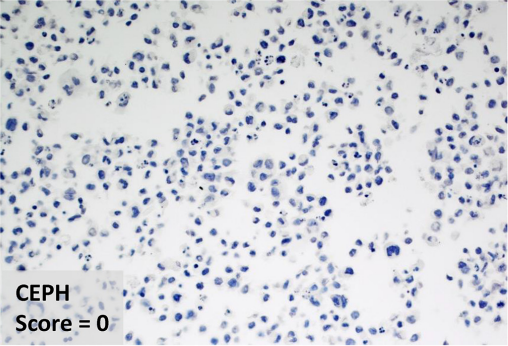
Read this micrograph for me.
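The cytoplasm around the nuclei is very pale, grey-blue, and shows no red colour anywhere in the field. Nuclei vary somewhat in size and some appear irregular or fragmented. The cells are spread singly and in small loose groups without tissue organisation, consistent with cultured lymphoblasts.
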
